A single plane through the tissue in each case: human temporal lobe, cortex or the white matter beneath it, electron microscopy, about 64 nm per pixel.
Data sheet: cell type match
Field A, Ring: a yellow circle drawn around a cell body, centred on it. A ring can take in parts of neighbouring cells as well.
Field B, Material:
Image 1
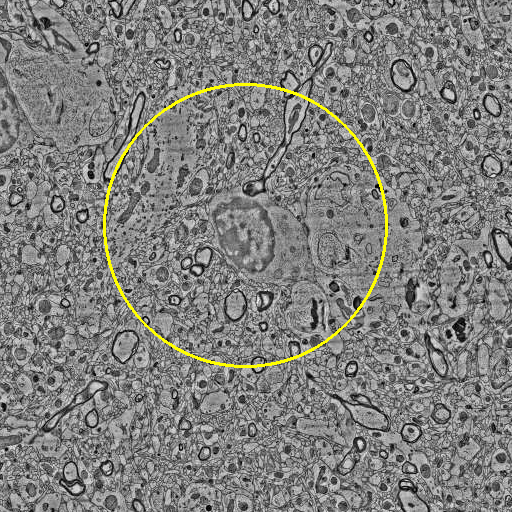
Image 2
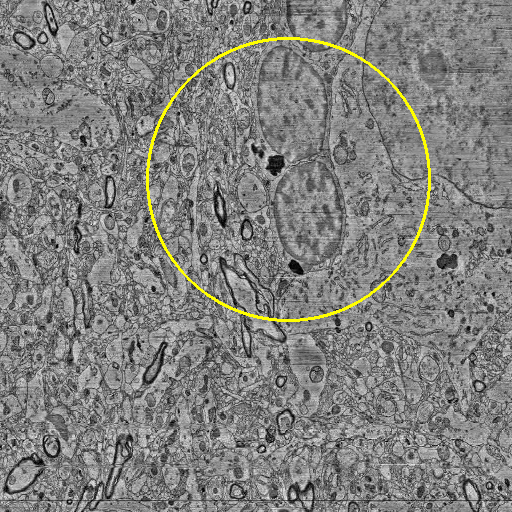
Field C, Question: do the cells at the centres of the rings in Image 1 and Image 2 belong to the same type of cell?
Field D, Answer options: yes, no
yes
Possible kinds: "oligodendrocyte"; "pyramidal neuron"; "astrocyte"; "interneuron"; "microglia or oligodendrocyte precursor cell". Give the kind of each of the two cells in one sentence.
The first and the second cell are each an oligodendrocyte.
